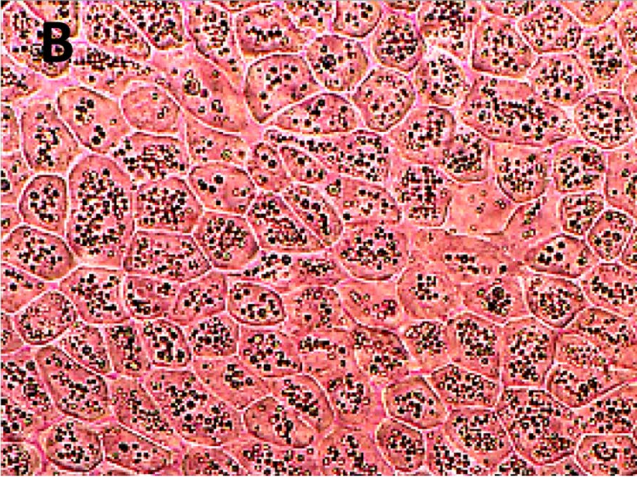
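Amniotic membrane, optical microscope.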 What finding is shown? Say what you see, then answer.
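The cells are crowded with numerous small dark round vacuoles.
Conclusion: fully vacuolated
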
